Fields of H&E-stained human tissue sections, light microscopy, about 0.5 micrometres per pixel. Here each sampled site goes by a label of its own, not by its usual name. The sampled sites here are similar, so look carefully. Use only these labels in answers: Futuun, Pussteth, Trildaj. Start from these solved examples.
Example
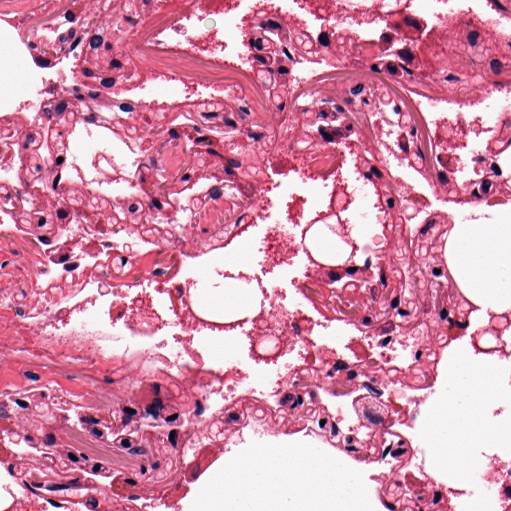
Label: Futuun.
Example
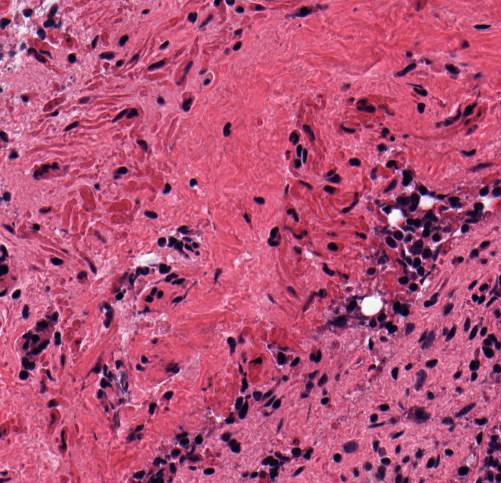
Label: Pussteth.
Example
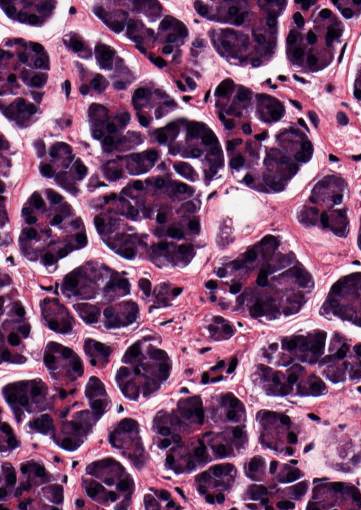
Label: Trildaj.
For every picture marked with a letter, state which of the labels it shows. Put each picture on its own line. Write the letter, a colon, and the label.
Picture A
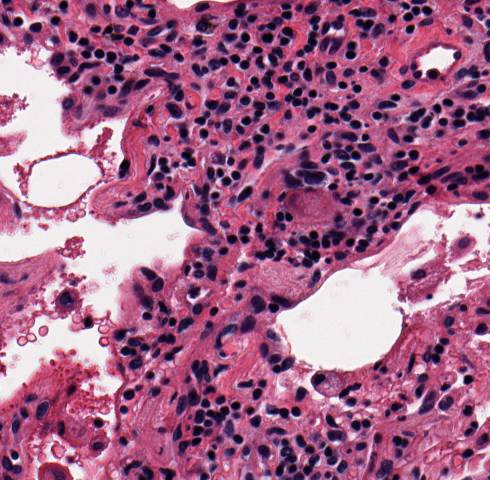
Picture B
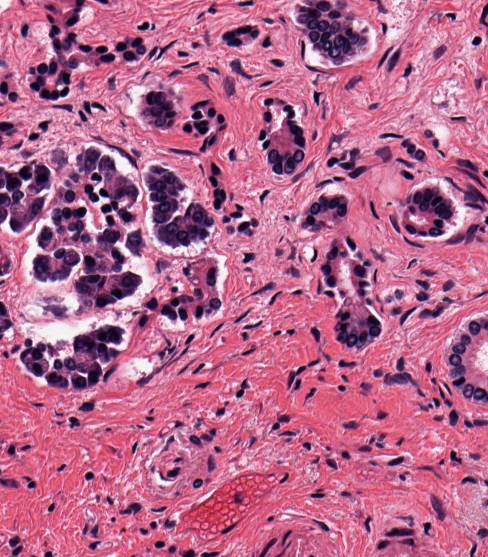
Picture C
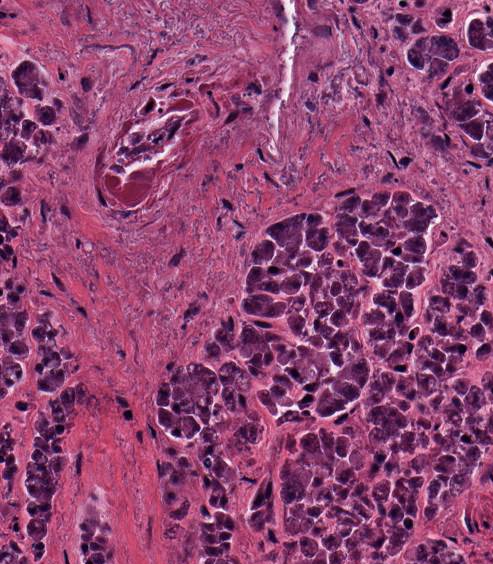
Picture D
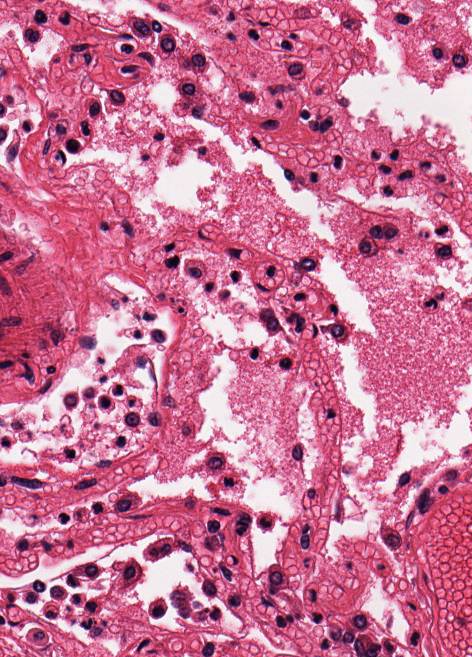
A: Futuun.
B: Trildaj.
C: Trildaj.
D: Futuun.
